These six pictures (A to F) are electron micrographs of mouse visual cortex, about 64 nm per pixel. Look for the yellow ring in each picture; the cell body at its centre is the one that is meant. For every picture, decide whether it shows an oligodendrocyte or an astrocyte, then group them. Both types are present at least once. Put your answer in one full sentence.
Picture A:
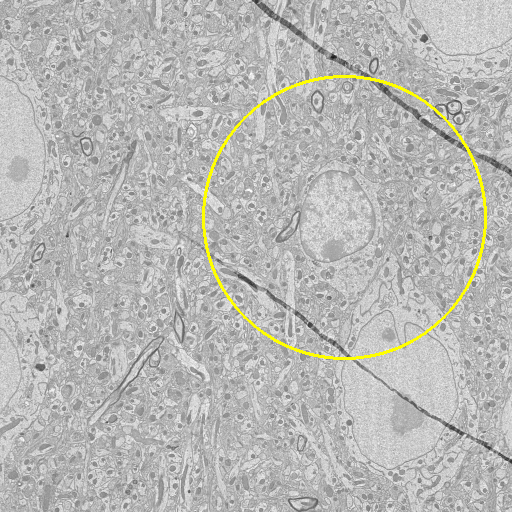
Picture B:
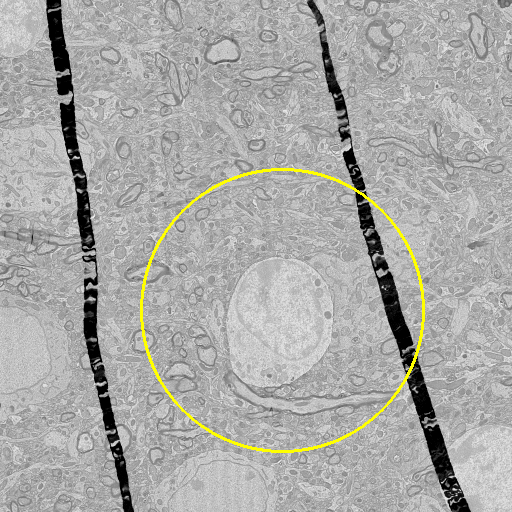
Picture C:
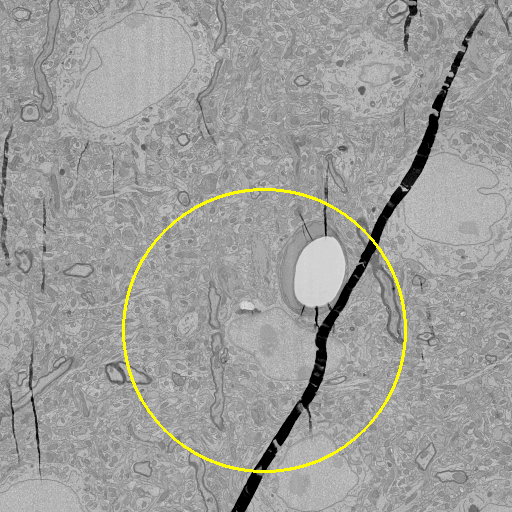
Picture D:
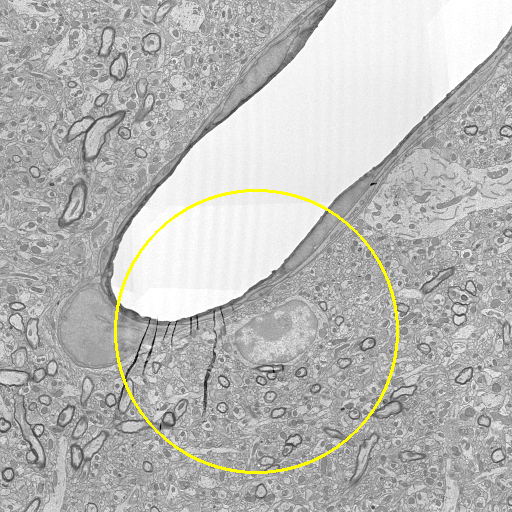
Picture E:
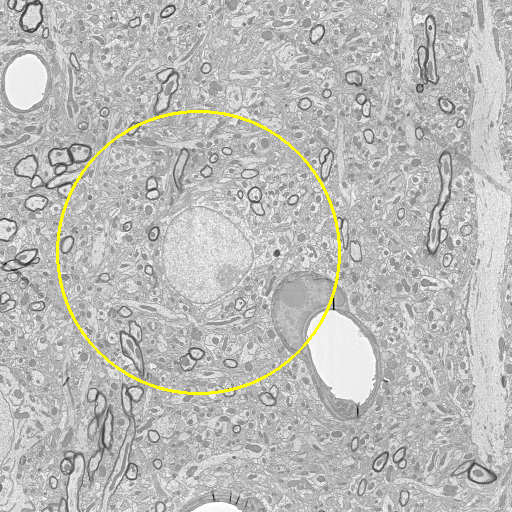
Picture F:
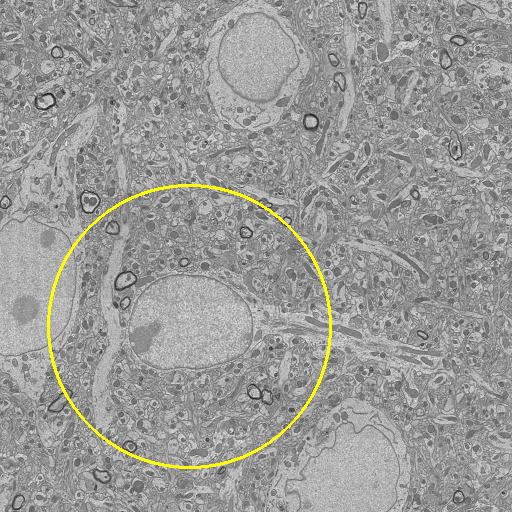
Pictures A, B and D show oligodendrocytes, and pictures C, E and F show astrocytes.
